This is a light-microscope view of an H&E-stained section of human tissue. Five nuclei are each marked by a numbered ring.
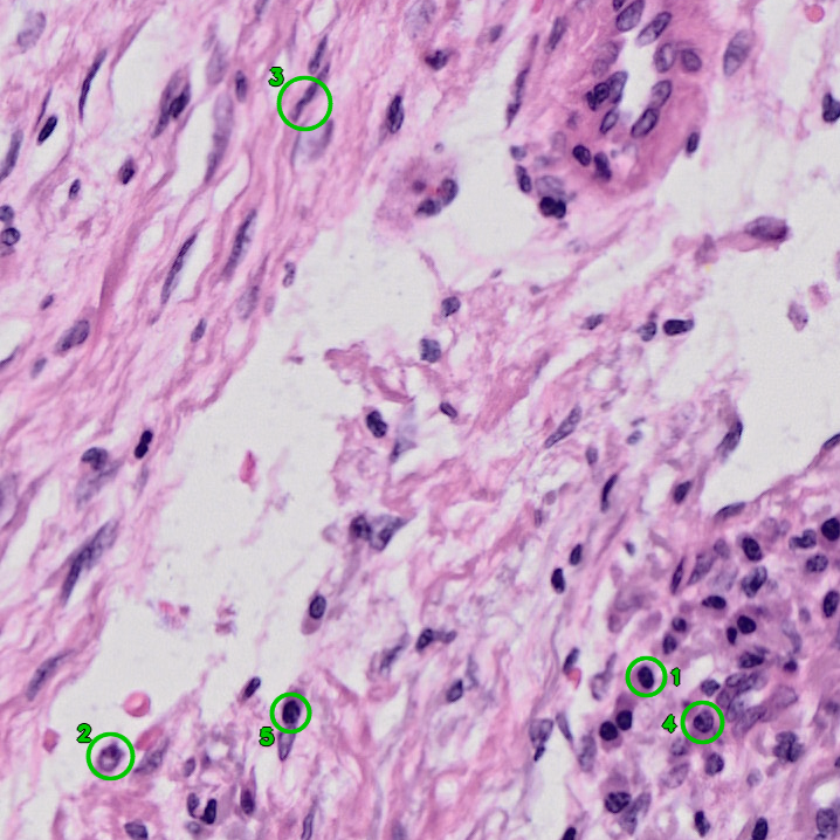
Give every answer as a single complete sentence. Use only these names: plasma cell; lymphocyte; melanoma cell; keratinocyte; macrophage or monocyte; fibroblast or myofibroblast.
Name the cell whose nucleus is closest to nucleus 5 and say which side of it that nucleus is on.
Just below nucleus 5 lies the nearest nucleus, which belongs to a fibroblast or myofibroblast.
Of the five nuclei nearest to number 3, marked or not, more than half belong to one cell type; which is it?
Around number 3, most of the five nearest nuclei are those of fibroblasts or myofibroblasts.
